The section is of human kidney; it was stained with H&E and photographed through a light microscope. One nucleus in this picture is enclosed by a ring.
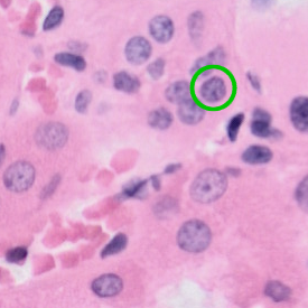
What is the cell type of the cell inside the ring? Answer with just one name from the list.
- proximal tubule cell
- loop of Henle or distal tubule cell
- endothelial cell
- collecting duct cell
collecting duct cell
